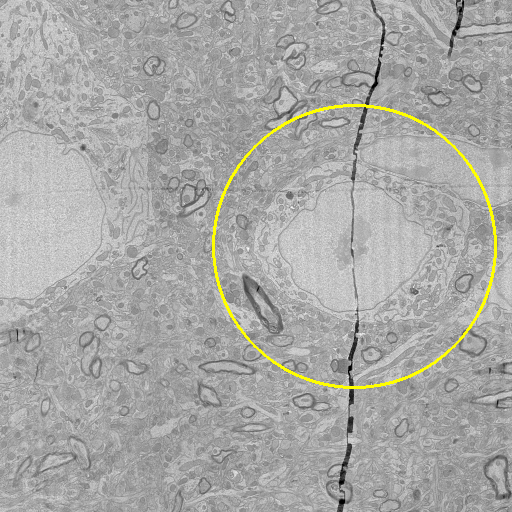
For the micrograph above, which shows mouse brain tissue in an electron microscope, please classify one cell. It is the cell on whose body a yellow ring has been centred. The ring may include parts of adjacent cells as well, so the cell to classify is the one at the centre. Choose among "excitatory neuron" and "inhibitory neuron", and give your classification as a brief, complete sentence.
I classify this cell as an inhibitory neuron.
